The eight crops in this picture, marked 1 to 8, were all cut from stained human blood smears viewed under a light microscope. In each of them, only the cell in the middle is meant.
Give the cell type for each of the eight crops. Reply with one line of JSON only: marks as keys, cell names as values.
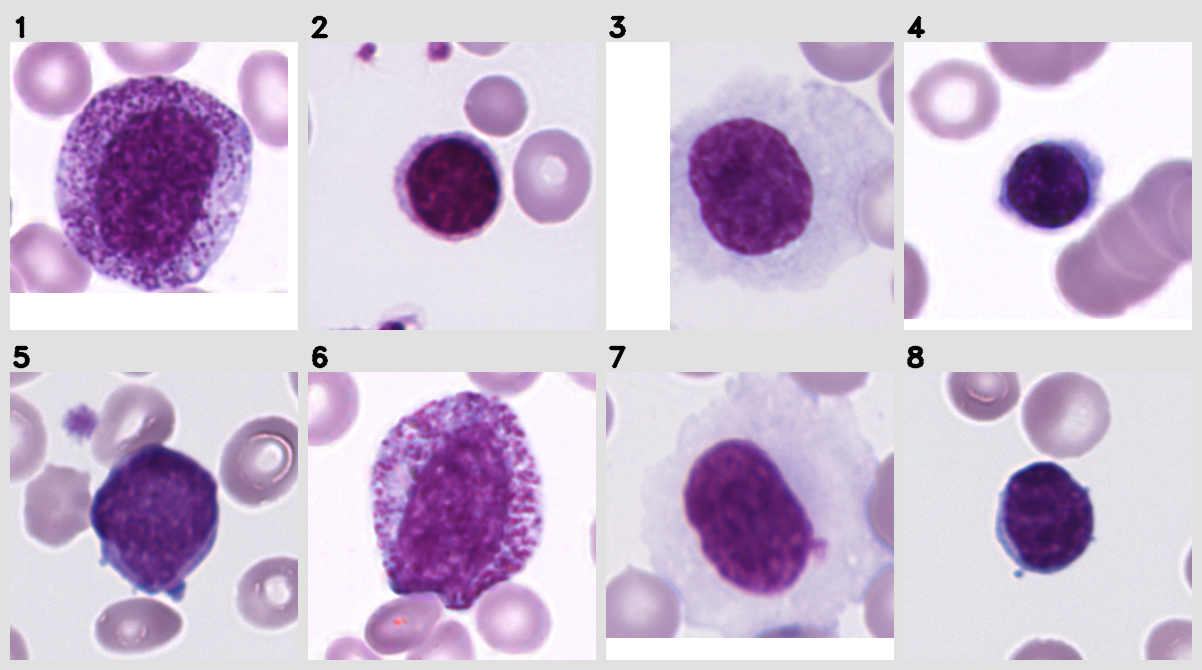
{"1": "promyelocyte", "2": "large granular lymphocyte", "3": "hairy cell", "4": "plasma cell", "5": "myeloblast", "6": "myelocyte", "7": "hairy cell", "8": "typical lymphocyte"}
